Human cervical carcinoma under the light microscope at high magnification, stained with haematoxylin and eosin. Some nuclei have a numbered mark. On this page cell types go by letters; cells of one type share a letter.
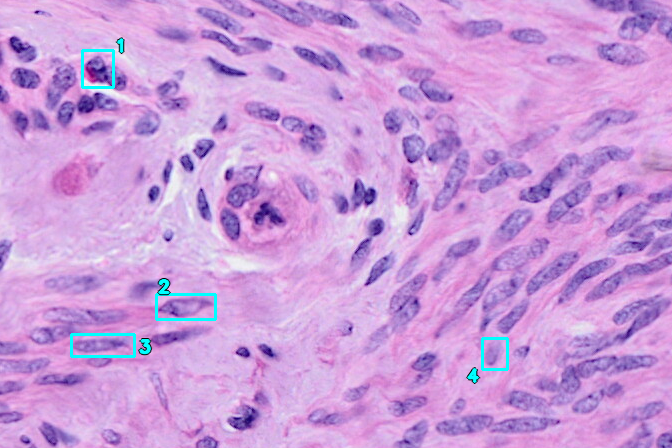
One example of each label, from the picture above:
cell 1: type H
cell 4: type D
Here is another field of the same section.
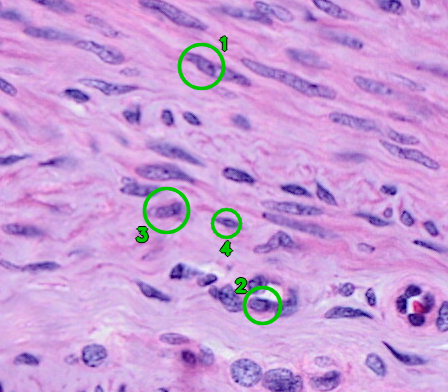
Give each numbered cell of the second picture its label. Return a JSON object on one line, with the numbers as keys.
{"1": "type D", "2": "type H", "3": "type D", "4": "type D"}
